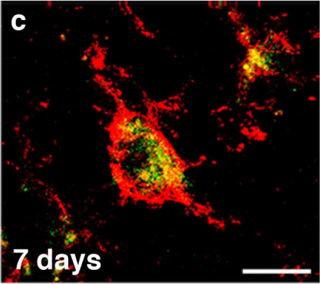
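The red-outlined processes extend outward in several directions with a ragged, beaded contour. Smaller cells or cell fragments at the upper right and lower left show the same mixed red and yellow signal. The surrounding background is dark.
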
